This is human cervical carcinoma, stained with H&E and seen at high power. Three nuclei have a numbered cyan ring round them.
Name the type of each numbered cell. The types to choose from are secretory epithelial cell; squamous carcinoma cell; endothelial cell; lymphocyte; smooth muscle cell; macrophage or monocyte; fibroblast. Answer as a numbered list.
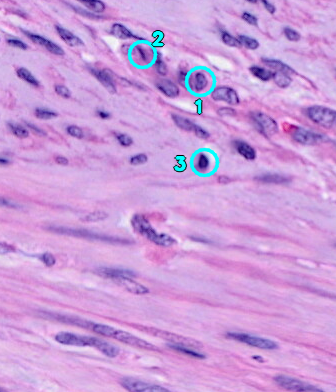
1. endothelial cell
2. endothelial cell
3. lymphocyte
